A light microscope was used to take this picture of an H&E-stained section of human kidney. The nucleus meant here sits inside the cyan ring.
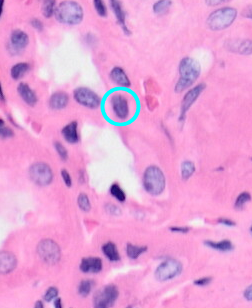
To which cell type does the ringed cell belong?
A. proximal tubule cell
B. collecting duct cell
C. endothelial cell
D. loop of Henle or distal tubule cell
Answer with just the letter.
B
